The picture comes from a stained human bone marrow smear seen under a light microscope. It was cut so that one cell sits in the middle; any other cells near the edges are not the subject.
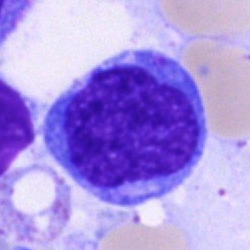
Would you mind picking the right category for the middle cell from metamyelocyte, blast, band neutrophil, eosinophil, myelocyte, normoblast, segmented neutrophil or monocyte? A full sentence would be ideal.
Here the cell in the middle is a monocyte.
